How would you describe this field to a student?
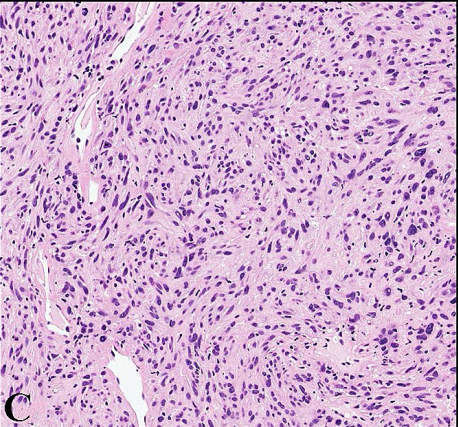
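This is a cellular tumour made mostly of spindle cells lying in loose, interlacing bundles within a pale pink fibrillary background. The cytoplasm is pale pink and poorly delimited, so cell borders are indistinct. A few thin-walled slit-like vessels cross the field. No glandular structures are present in this area.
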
